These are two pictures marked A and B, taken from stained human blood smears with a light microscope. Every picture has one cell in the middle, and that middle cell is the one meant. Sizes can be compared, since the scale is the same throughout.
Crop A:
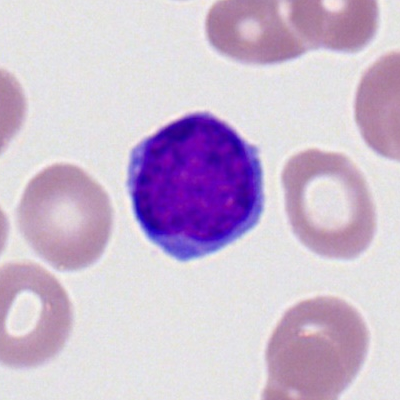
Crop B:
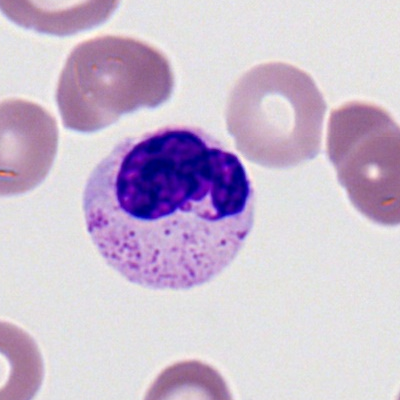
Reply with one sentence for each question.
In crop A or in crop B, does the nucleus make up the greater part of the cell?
In crop A the nucleus takes up the larger part of its cell.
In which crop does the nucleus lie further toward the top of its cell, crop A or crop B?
Seen within its cell, the nucleus in crop B lies further toward the top.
